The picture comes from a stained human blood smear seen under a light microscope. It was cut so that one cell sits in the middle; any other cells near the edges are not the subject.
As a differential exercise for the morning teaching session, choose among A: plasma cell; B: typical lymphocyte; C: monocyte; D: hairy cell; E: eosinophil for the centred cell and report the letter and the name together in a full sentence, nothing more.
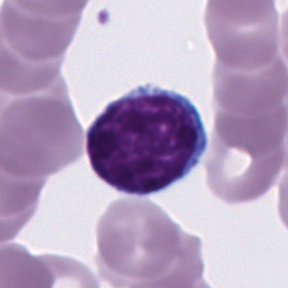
That the central cell is a typical lymphocyte makes option B correct.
